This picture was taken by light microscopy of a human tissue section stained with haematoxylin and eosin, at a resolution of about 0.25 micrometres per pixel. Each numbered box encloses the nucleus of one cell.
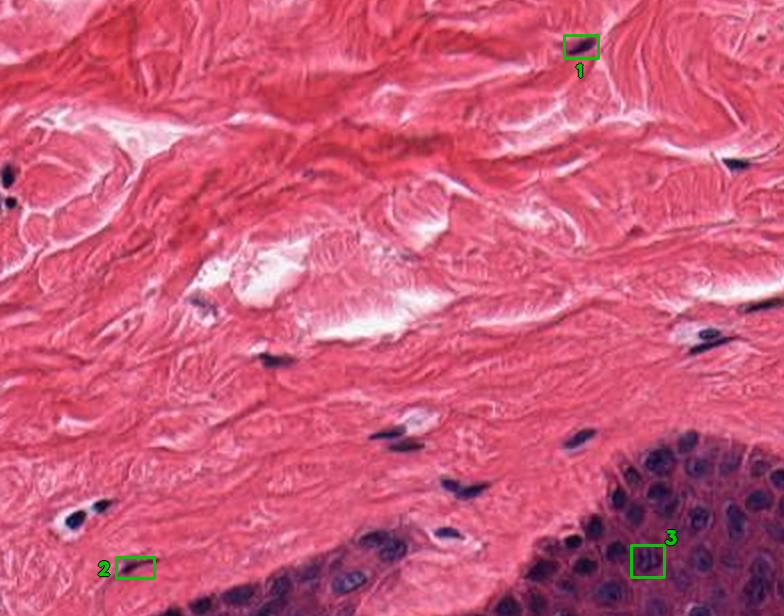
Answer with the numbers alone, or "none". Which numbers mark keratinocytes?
3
